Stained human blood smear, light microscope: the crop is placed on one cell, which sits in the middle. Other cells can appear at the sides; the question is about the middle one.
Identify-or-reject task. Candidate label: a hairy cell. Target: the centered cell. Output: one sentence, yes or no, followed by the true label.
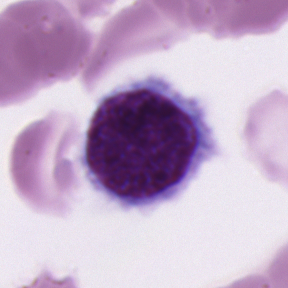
Yes, the cell in the middle is recognised as a hairy cell.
